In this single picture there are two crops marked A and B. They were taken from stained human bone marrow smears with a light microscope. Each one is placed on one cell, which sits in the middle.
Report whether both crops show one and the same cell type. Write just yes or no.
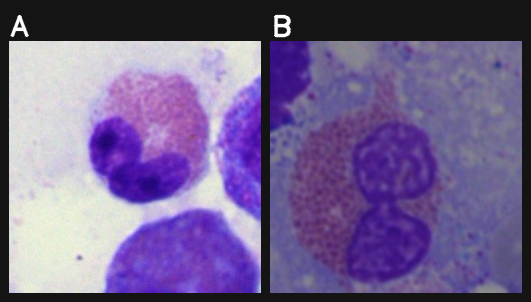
yes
